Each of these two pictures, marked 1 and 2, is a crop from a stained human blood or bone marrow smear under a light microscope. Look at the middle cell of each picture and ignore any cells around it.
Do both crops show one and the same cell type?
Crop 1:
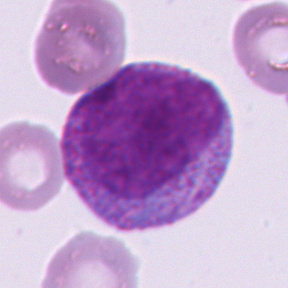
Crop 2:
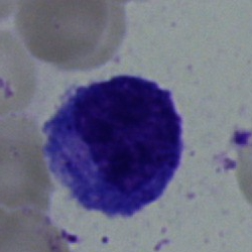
yes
